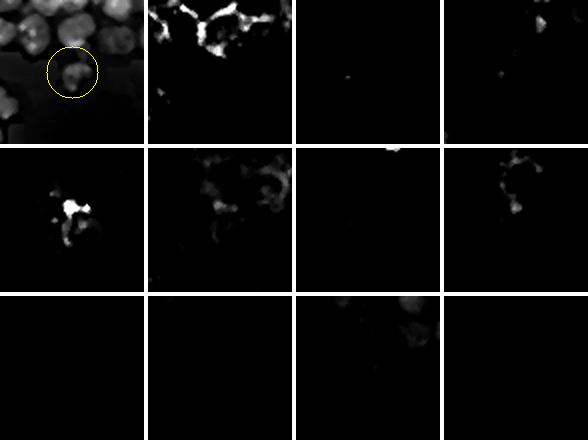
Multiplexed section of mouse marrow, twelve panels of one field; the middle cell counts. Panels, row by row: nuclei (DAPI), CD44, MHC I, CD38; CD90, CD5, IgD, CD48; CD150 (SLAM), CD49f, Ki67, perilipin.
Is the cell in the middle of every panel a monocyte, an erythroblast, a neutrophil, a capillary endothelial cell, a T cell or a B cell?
It is a T cell.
